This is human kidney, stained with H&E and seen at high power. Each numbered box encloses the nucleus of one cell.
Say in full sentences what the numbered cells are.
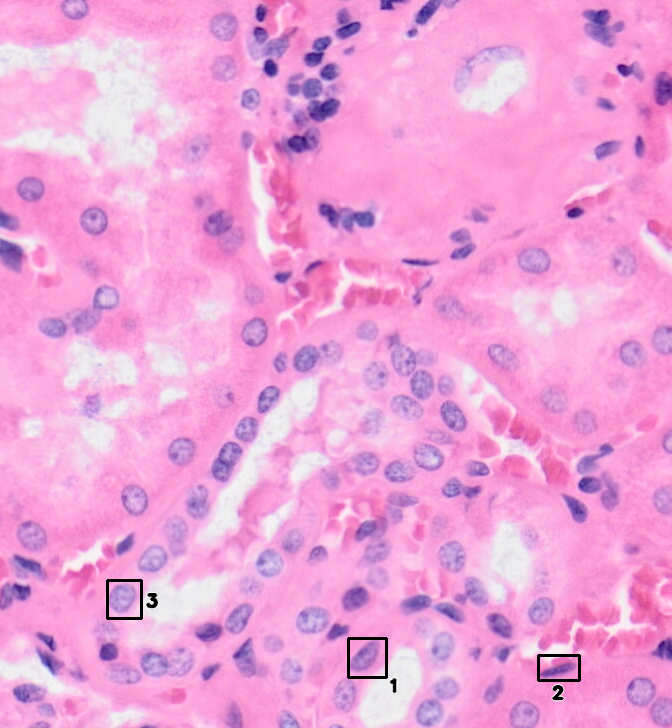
Cells 1 and 3 are collecting duct cells. Cell 2 is an endothelial cell.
